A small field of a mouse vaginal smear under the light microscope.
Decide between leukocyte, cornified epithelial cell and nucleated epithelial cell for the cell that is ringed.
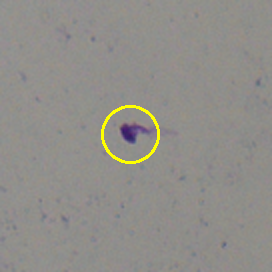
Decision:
I take the ringed cell for a leukocyte.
